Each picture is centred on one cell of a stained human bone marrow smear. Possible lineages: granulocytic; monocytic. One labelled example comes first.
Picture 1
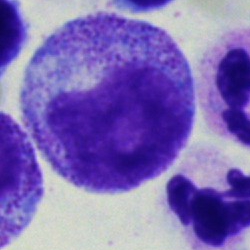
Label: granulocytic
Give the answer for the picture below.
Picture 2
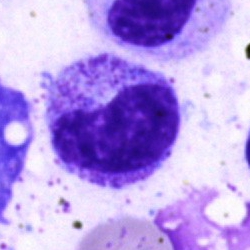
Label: granulocytic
